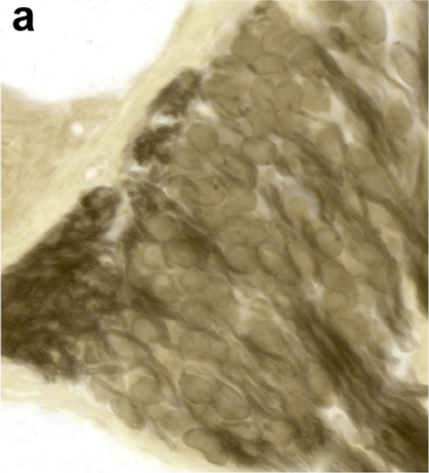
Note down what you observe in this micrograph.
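Within a canal bordered by pale yellow bone lies a dense cluster of round to oval cell bodies, each with a thin dark outline and a grey-brown, fairly even interior. The cell bodies lie packed side by side with little space between them, while bundles of darker fibres stream through and out of the cluster at one corner. These are spiral ganglion neurons filling Rosenthal's canal, with their nerve fibres passing among them.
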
